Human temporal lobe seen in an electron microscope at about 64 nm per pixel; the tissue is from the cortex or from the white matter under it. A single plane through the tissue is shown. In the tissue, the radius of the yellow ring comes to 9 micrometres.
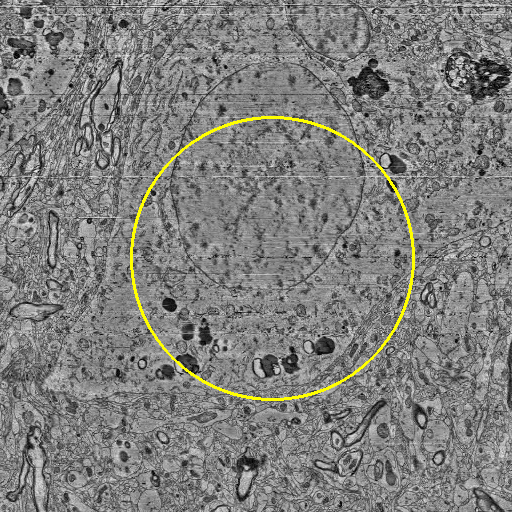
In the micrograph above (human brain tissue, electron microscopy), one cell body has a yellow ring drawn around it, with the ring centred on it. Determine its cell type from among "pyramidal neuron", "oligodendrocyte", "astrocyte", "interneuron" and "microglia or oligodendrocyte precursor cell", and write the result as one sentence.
The cell whose body is ringed is a pyramidal neuron.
